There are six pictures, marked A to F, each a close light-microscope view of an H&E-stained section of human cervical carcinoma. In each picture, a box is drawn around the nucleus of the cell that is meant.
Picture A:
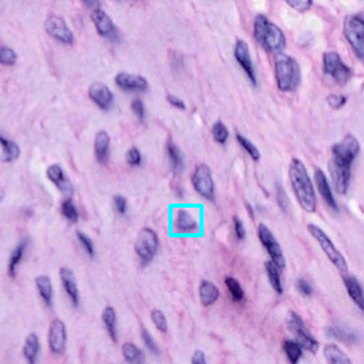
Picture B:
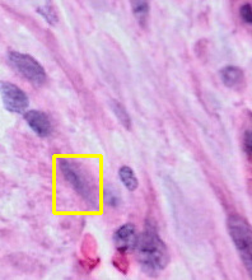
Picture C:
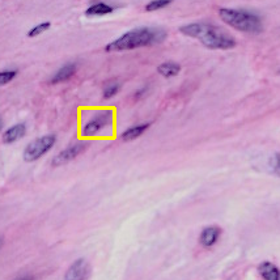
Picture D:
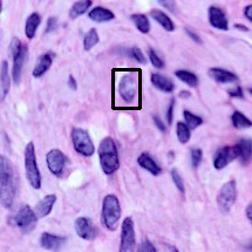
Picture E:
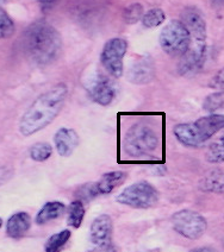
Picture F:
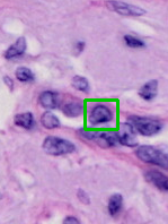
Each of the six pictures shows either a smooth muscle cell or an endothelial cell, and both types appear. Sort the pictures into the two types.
A: smooth muscle cell
B: endothelial cell
C: smooth muscle cell
D: endothelial cell
E: endothelial cell
F: endothelial cell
